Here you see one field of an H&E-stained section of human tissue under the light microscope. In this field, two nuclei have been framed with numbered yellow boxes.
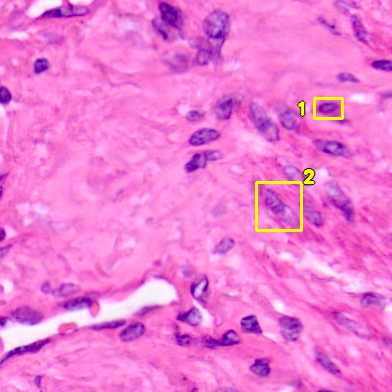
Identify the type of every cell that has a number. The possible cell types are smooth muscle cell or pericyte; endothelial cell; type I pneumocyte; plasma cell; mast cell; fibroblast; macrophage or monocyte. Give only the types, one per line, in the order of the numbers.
mast cell
smooth muscle cell or pericyte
